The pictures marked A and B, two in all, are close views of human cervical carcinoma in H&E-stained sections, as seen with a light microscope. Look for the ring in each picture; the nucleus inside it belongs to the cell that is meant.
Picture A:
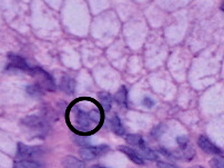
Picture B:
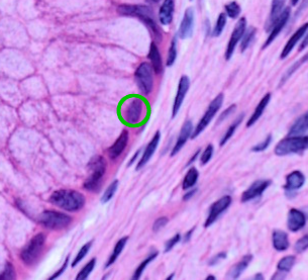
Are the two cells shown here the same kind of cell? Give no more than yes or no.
yes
